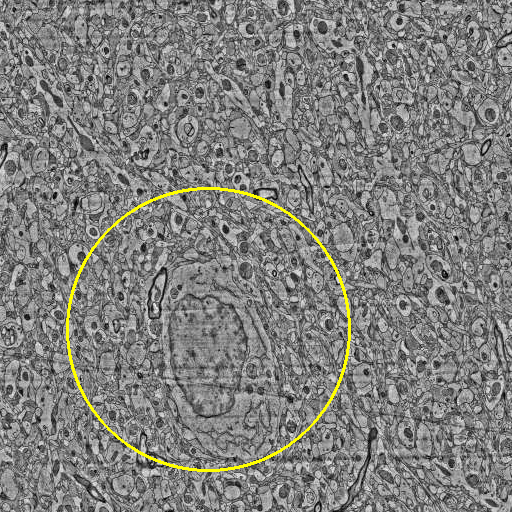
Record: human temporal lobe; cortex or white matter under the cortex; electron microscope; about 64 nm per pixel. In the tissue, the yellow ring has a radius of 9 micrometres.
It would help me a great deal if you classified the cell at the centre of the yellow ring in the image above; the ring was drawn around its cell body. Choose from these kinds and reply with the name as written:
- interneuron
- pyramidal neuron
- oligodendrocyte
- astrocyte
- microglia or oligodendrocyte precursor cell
interneuron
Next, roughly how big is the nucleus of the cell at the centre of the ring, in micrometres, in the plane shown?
At approximately 8 by 5 micrometres, the nucleus is clearly longer than it is wide in this plane.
